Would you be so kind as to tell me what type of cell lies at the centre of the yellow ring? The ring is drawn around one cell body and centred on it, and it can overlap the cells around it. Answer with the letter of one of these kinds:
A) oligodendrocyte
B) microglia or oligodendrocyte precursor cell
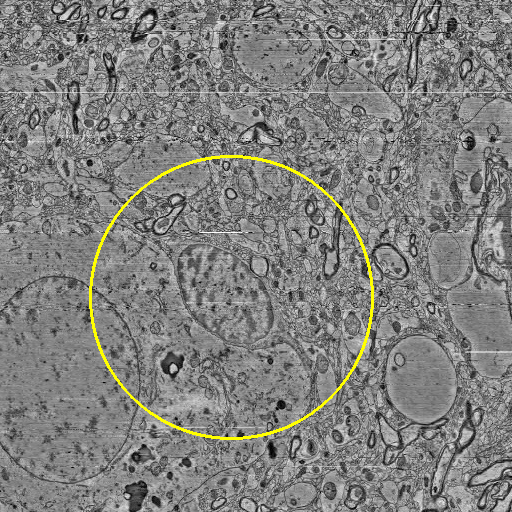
A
